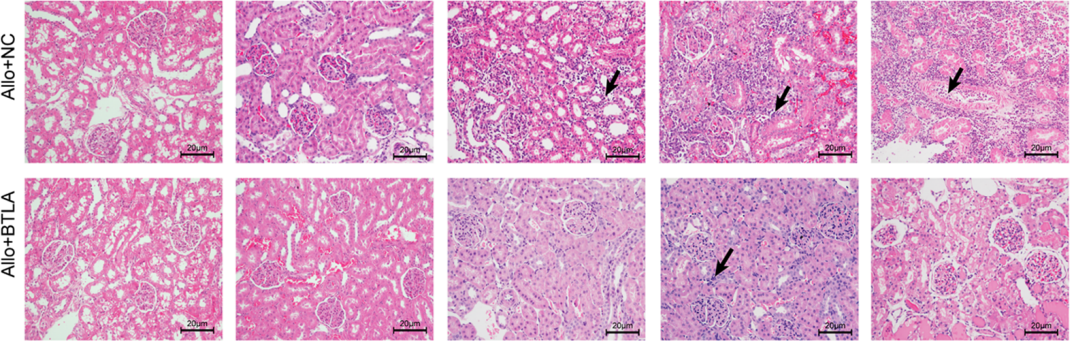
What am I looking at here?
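This is renal cortex in haematoxylin and eosin. Round glomeruli, tufts of capillary loops with purple nuclei, sit in clear Bowman's spaces. Around them lie closely packed tubules in cross-section, lined by cuboidal epithelium with pink cytoplasm and round dark nuclei. In some images this architecture is regular, with open tubular lumens and little tissue between tubules. In others the interstitium is crowded with many small, round, dark blue nuclei of infiltrating mononuclear cells, marked by arrows. Where the infiltrate is heaviest, tubules are compressed and hard to make out, outlines are lost, and patches of red blood cells lie outside vessels.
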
